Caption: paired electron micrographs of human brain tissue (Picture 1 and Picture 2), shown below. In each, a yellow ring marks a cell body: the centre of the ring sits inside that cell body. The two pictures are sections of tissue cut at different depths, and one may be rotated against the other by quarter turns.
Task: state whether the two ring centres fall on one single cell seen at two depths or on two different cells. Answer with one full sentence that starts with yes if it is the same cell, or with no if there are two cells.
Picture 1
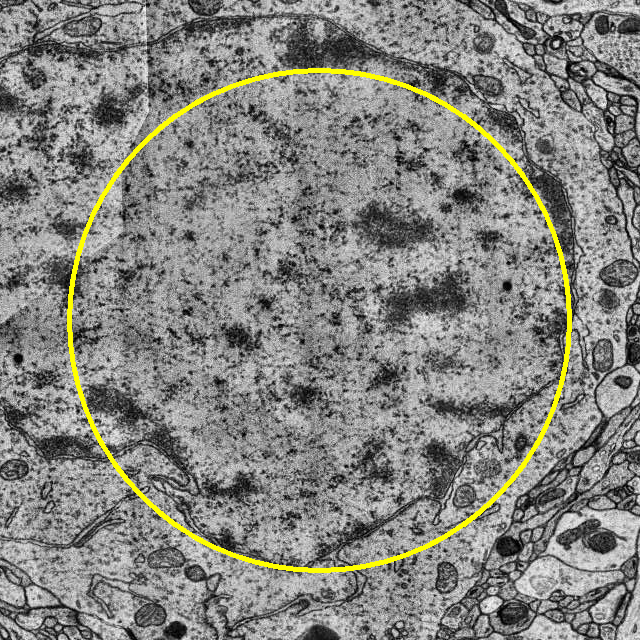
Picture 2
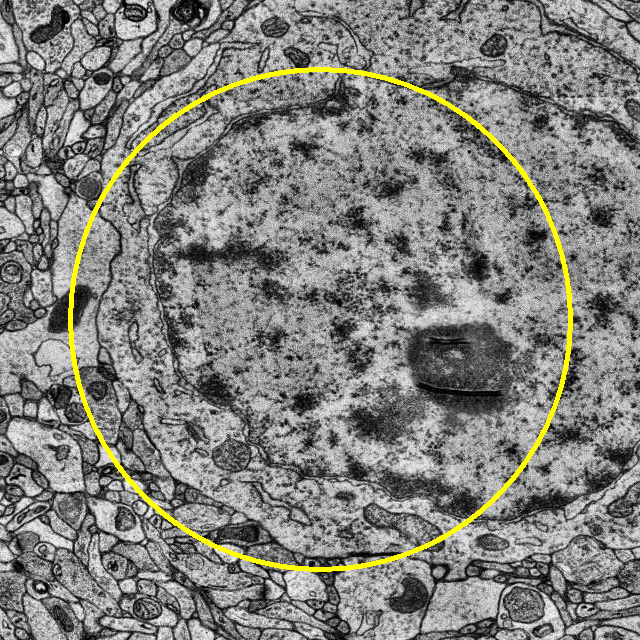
Yes, the two marked outlines come from one and the same cell.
